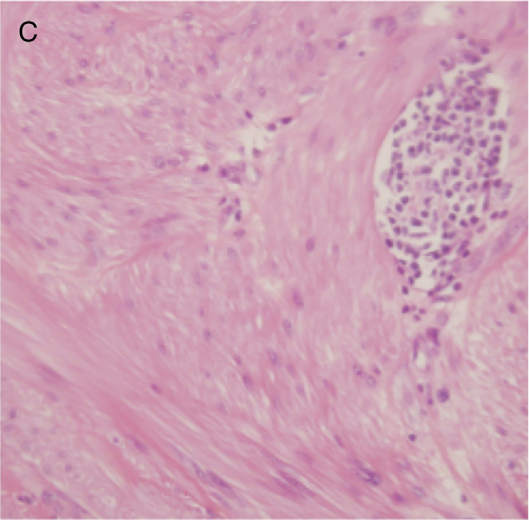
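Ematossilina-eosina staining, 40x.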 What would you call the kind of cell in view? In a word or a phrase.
lymphocytes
